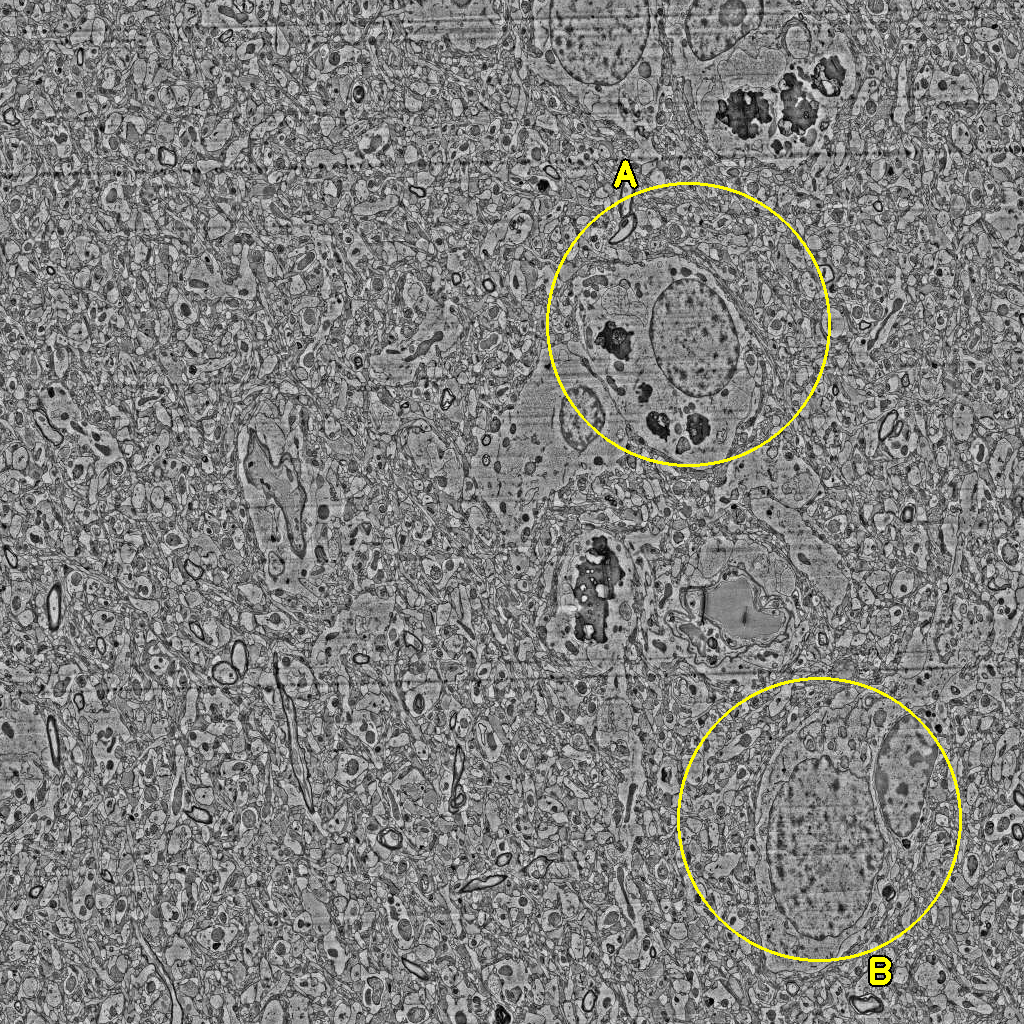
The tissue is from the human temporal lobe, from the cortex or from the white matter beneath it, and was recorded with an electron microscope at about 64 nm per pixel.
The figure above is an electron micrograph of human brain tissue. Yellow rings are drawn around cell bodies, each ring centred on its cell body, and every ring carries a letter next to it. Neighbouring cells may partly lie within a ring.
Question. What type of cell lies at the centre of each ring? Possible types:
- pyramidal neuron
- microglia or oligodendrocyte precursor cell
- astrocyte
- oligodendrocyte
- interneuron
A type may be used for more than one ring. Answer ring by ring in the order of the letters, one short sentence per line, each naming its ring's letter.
In ring A, the central cell is an astrocyte.
In ring B, the central cell is an interneuron.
